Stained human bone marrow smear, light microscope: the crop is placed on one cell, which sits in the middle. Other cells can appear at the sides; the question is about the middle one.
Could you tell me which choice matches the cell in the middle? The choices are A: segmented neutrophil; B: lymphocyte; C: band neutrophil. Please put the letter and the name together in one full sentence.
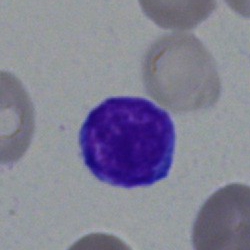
The cell at the centre is a lymphocyte, and option B accordingly is correct.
